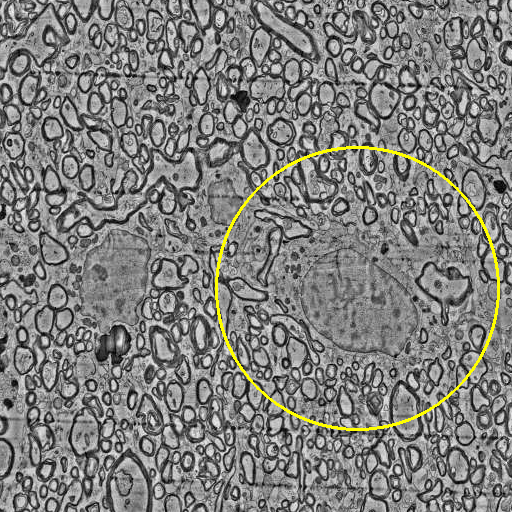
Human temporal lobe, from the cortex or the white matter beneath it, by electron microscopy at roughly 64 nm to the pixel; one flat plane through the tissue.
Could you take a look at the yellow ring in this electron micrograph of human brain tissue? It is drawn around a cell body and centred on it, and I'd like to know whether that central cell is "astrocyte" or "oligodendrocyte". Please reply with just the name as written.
oligodendrocyte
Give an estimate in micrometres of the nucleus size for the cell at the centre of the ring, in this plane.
Roughly 8 by 6 micrometres in this plane, for the nucleus of the ringed cell.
